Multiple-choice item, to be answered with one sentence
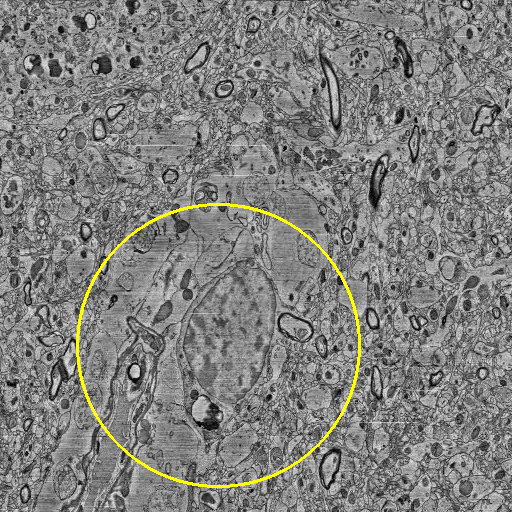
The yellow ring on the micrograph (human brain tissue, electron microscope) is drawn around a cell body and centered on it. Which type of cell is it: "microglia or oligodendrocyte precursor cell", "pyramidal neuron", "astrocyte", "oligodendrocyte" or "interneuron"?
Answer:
The ring is centered on an oligodendrocyte.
